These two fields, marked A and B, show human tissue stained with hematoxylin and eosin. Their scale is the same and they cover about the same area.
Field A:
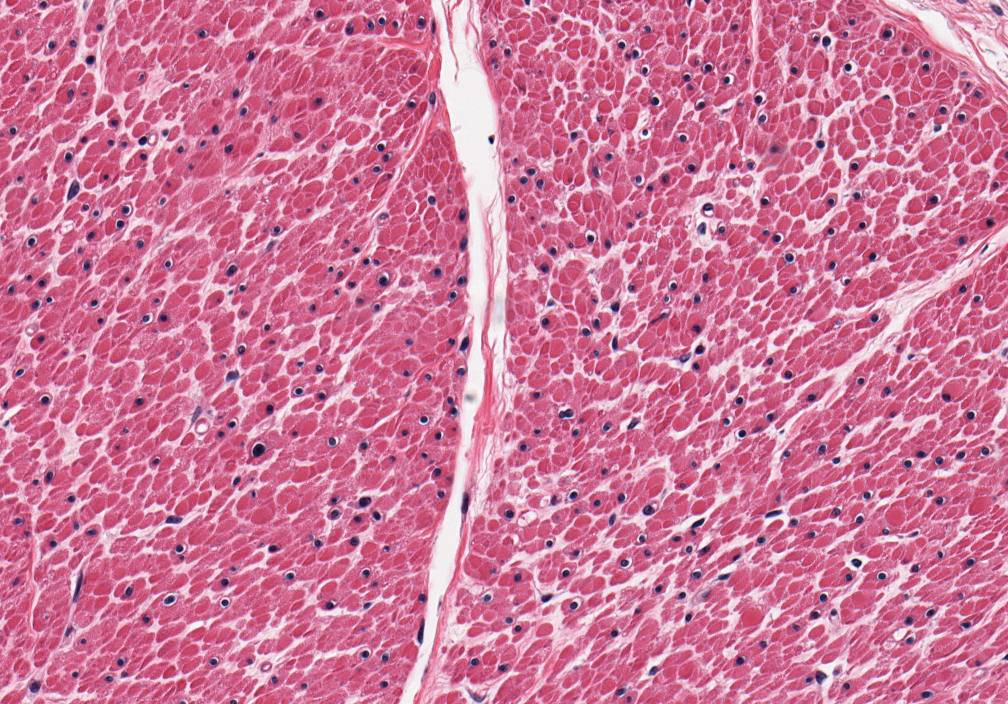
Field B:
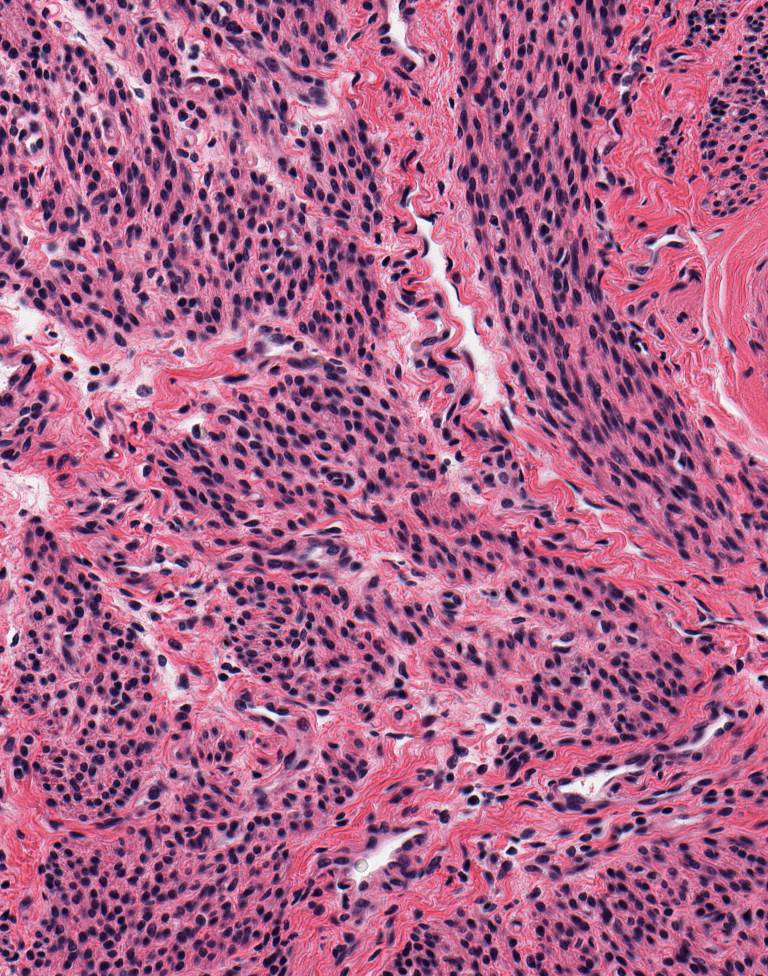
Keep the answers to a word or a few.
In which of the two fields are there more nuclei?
B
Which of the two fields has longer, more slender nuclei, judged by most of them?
B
